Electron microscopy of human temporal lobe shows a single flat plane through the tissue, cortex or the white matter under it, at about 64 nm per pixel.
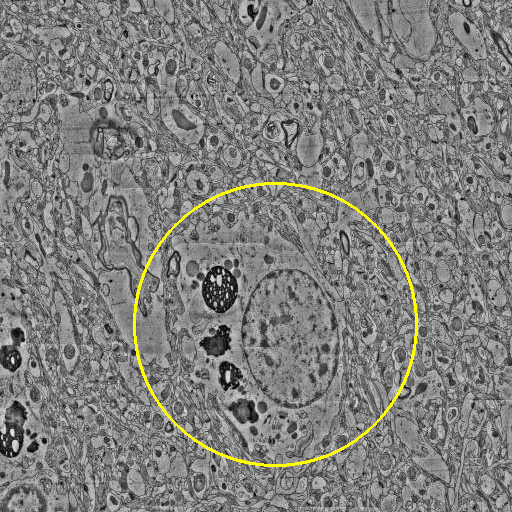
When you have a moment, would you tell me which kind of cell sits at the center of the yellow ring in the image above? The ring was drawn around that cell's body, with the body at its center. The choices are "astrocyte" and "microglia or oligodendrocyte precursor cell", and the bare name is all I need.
astrocyte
